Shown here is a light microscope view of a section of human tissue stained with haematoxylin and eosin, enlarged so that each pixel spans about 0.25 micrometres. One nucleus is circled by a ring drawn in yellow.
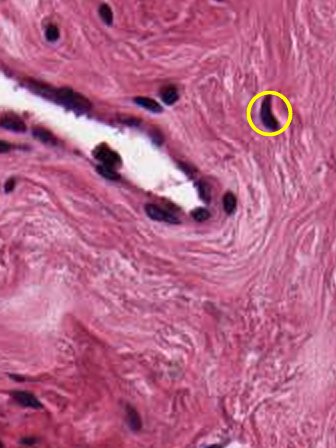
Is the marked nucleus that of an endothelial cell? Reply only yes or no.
no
